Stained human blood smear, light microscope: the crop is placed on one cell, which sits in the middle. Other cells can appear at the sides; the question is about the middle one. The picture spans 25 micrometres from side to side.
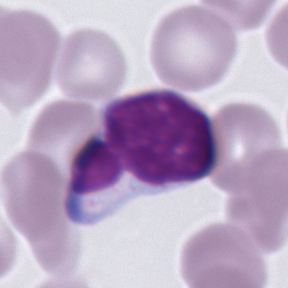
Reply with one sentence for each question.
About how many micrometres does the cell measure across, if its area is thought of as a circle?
The diameter of the cell comes to about 12 micrometres.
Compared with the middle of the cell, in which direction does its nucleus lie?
The nucleus sits off-centre, toward the upper right.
